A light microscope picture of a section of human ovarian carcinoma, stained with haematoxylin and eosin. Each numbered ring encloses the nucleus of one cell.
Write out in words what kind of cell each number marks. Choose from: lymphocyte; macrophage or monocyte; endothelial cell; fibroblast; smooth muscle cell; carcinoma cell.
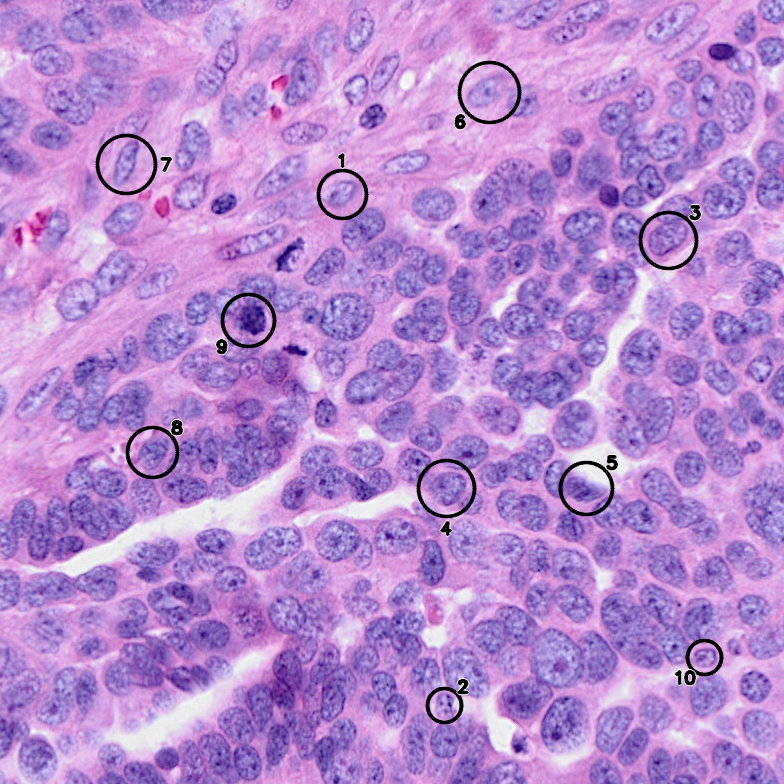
Cells 1, 6 and 7 are fibroblasts. Cells 2 and 10 are macrophages or monocytes. Cells 3, 4, 5, 8 and 9 are carcinoma cells.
